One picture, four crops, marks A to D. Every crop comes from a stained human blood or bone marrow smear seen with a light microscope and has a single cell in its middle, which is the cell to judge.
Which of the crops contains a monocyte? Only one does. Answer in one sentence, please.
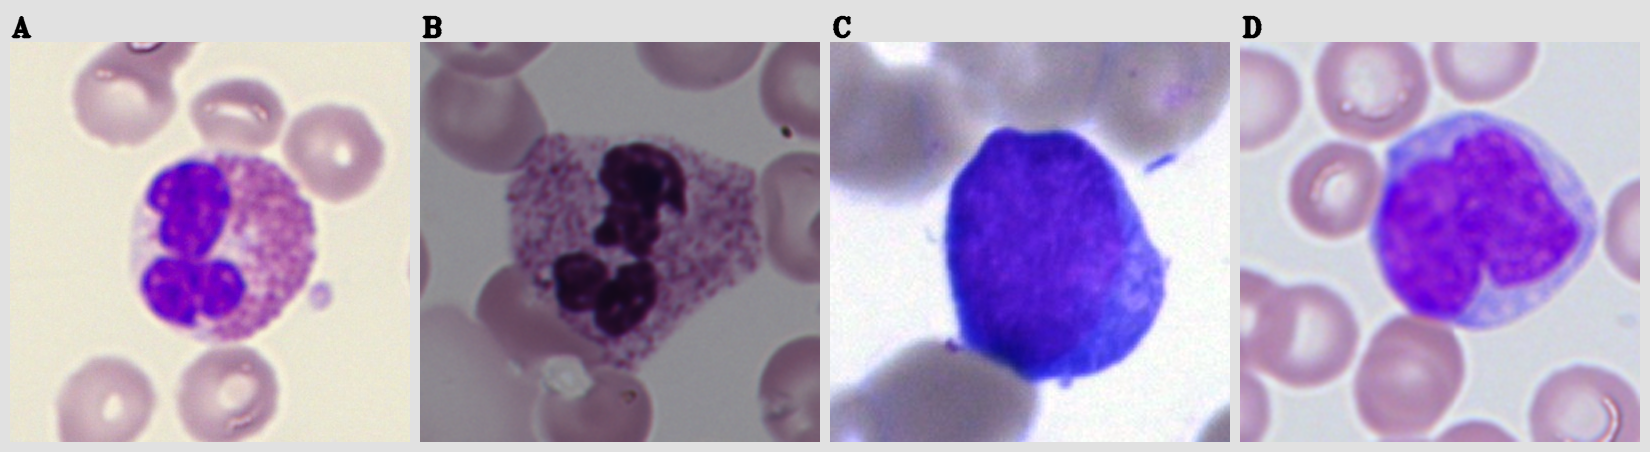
The crop marked D is the one in which a monocyte is shown.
